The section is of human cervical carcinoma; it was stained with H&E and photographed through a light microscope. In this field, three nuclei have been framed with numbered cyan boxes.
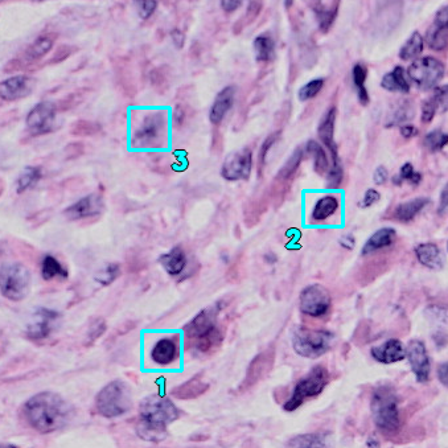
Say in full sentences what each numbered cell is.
Cells 1 and 2 are lymphocytes. Cell 3 is a fibroblast.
